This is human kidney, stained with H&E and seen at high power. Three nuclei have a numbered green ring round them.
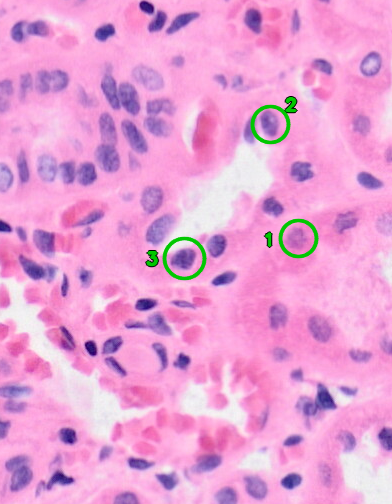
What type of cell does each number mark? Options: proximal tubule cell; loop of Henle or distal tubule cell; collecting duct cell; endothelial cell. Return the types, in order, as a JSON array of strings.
["proximal tubule cell", "loop of Henle or distal tubule cell", "loop of Henle or distal tubule cell"]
